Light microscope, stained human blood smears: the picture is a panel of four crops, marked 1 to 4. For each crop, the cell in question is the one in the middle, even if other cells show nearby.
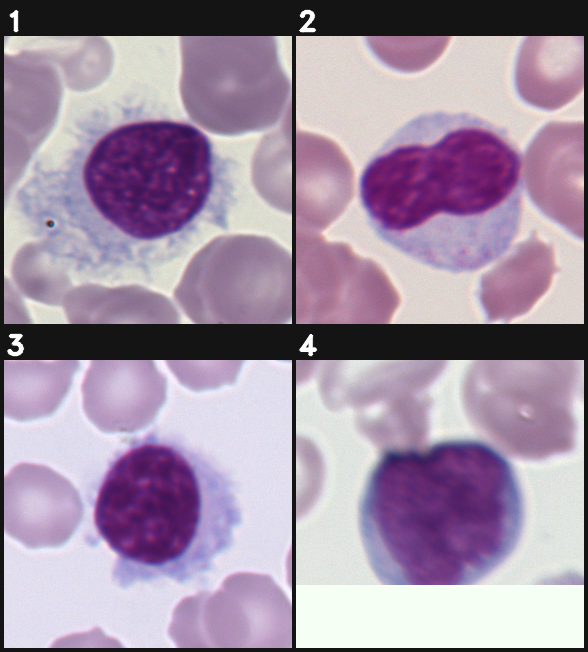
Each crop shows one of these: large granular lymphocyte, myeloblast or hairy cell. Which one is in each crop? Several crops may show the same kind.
1: hairy cell
2: large granular lymphocyte
3: hairy cell
4: myeloblast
